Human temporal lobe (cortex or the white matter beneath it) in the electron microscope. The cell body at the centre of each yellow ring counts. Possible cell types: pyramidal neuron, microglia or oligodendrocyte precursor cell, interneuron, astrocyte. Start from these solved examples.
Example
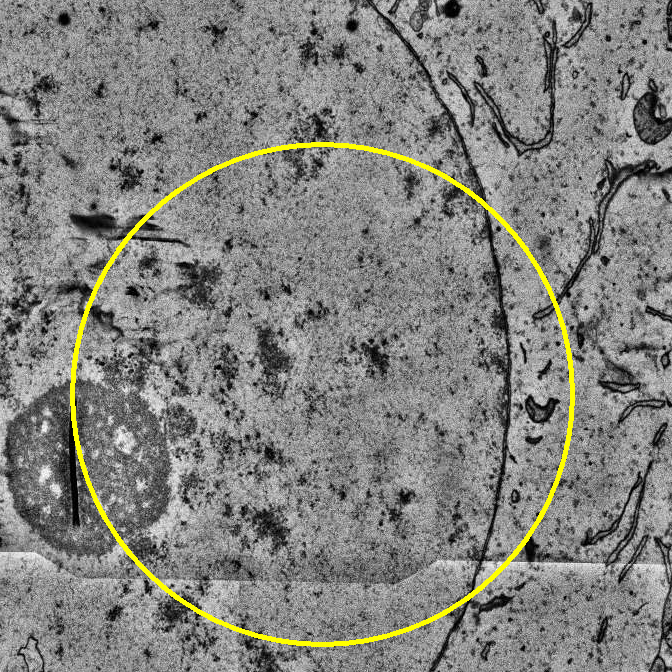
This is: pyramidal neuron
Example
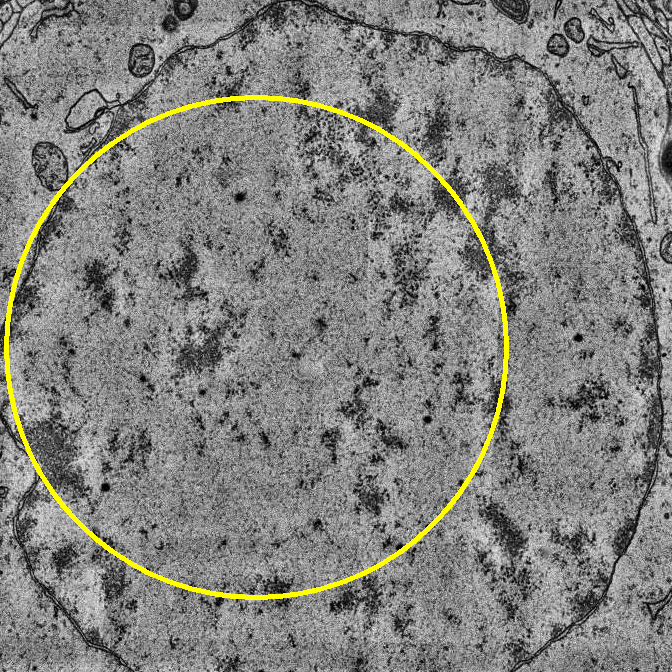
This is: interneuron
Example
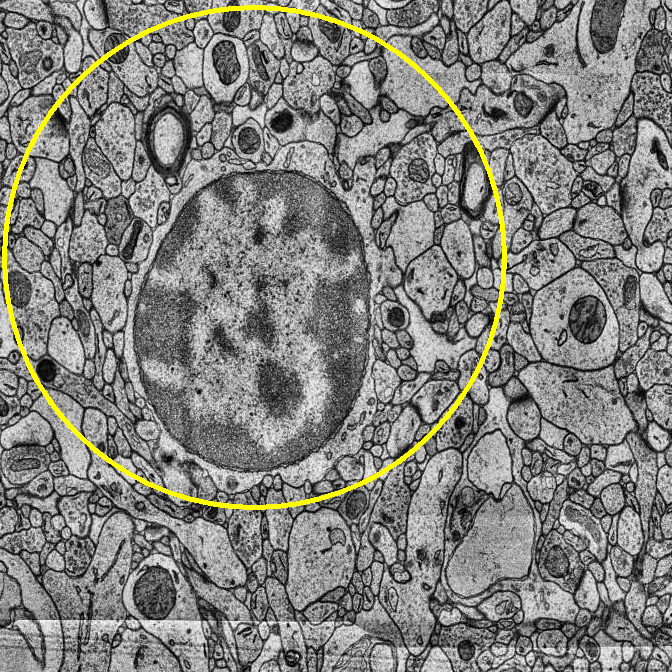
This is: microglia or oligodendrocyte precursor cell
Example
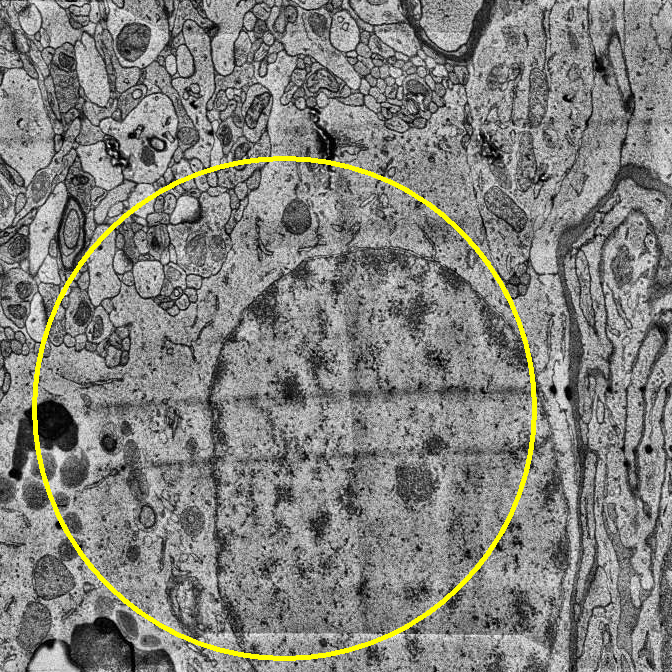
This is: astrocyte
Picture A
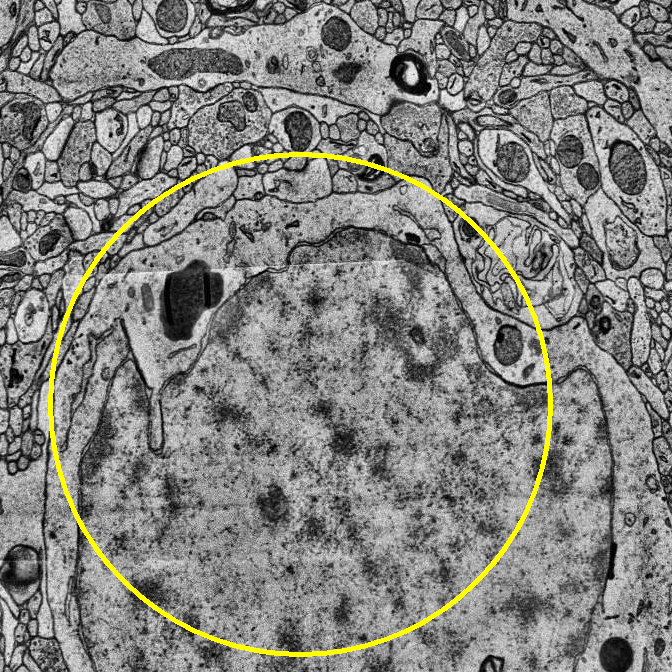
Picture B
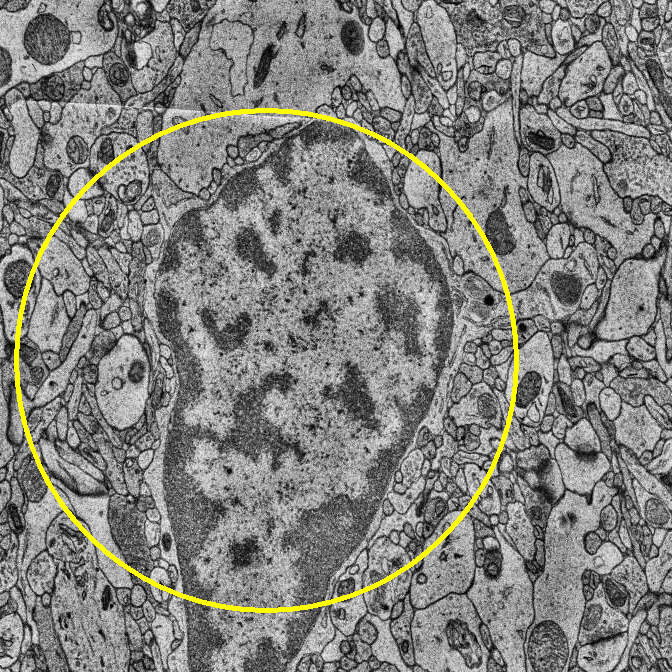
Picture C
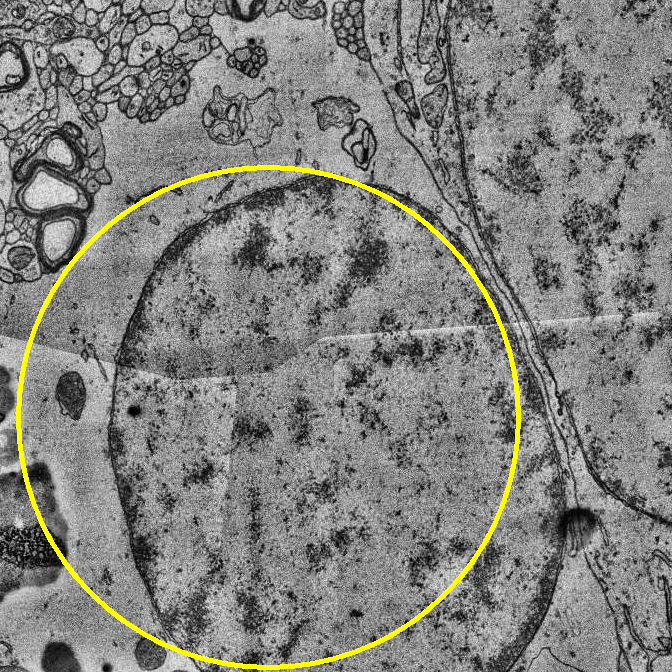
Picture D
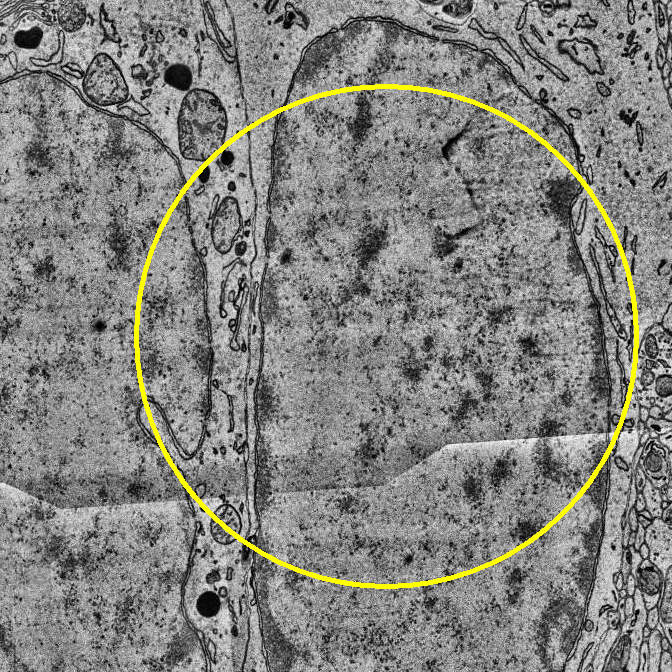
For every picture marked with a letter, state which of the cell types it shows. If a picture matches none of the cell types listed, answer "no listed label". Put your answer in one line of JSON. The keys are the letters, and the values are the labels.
{"A": "interneuron", "B": "microglia or oligodendrocyte precursor cell", "C": "astrocyte", "D": "microglia or oligodendrocyte precursor cell"}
